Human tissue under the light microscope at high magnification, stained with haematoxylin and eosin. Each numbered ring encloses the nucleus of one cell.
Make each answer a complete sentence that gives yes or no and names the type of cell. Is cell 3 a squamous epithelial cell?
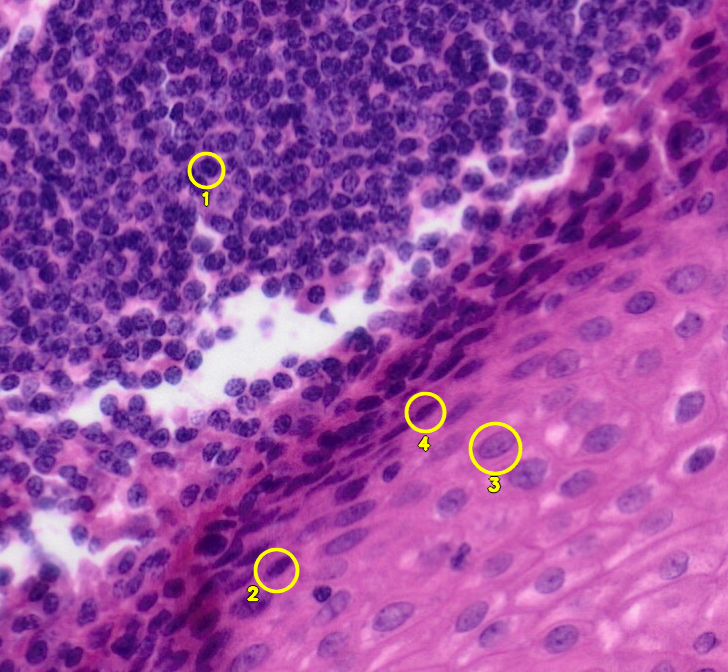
Yes, the cell marked by the number 3 is a squamous epithelial cell.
